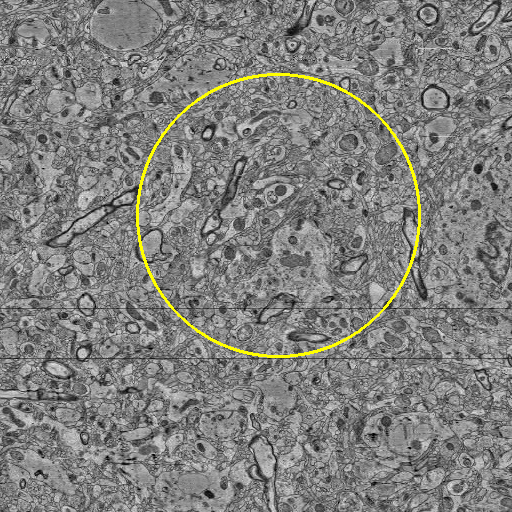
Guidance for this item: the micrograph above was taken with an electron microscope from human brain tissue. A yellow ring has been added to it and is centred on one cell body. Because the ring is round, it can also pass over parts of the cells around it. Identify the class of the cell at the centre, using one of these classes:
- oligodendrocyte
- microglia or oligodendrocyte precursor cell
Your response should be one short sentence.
The ring surrounds the body of a microglial cell or oligodendrocyte precursor cell.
